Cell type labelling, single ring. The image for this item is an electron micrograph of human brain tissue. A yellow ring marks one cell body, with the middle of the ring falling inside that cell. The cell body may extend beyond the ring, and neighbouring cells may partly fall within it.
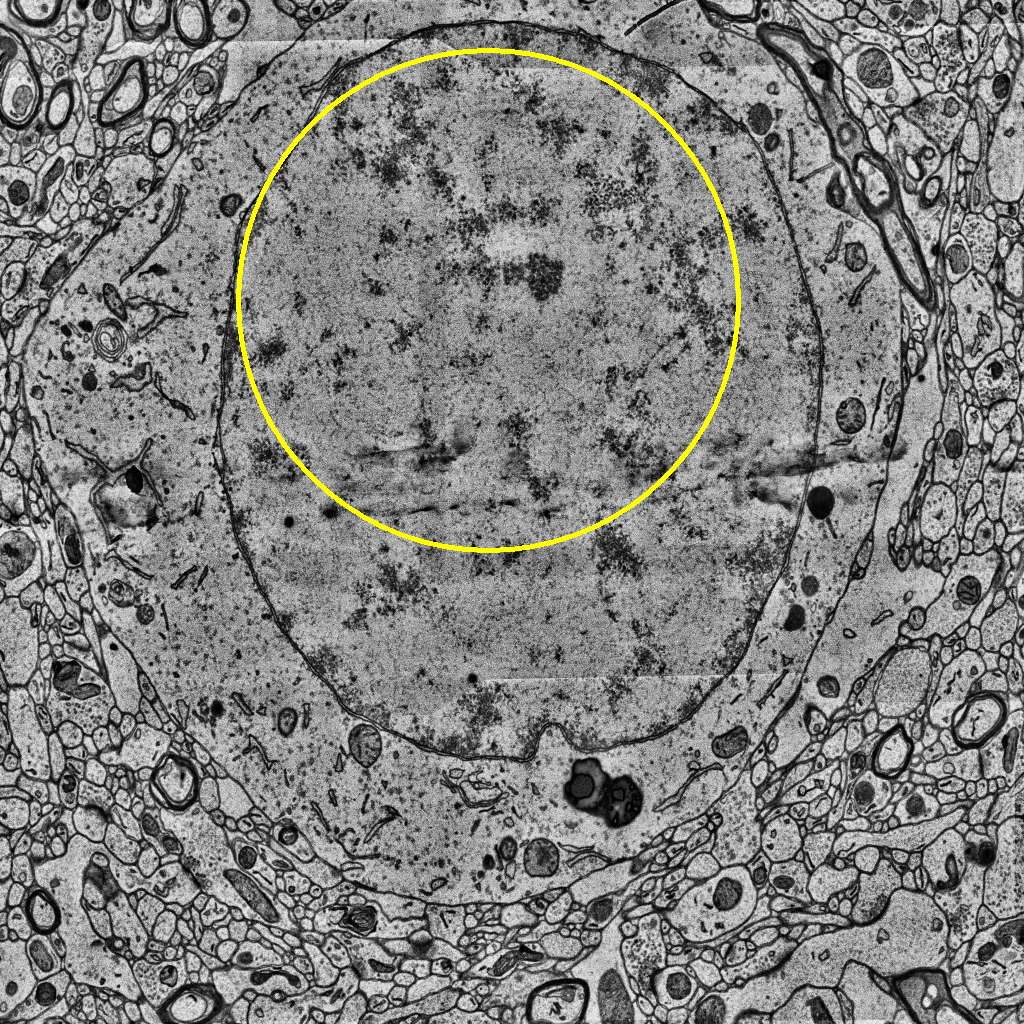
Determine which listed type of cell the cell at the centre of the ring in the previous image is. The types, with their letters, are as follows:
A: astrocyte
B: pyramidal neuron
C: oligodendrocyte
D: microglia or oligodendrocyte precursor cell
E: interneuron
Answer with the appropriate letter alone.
B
